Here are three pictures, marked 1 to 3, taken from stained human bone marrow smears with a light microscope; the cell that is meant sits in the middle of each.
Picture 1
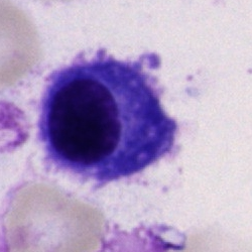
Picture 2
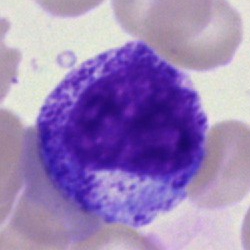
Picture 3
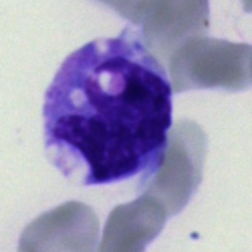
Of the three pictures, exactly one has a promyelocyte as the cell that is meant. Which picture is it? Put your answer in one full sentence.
Picture 2 is the one that shows the promyelocyte.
